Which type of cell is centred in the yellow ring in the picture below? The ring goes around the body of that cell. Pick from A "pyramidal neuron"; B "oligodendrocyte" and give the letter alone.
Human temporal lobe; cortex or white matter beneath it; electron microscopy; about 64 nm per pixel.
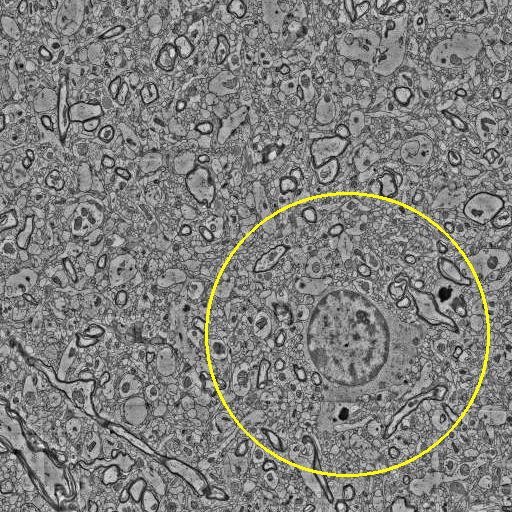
B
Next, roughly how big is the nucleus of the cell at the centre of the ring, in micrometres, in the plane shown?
Approximately 6 x 5 micrometres in this plane.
